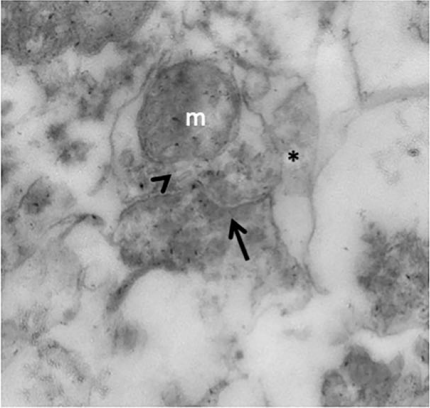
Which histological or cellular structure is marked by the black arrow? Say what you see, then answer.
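Postsynaptic densities. The arrow points to a dark, thickened band along a membrane apposition between two profiles.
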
